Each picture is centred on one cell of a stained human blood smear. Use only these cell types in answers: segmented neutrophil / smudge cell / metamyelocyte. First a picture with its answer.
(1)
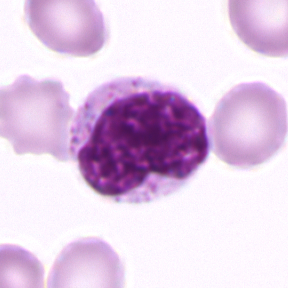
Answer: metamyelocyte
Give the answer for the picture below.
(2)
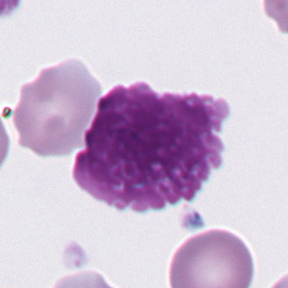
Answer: smudge cell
